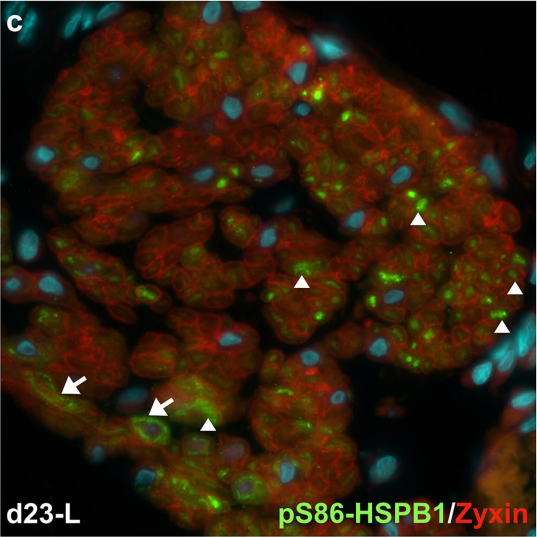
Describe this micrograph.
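Bright green dots lie inside many profiles, some clustered in groups of cells. A few cells at the bundle edge show green along their rims. Oval cyan nuclei sit centrally in some profiles, with others between bundles.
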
